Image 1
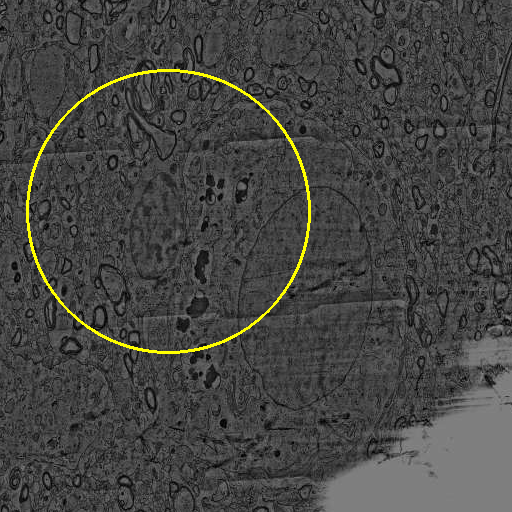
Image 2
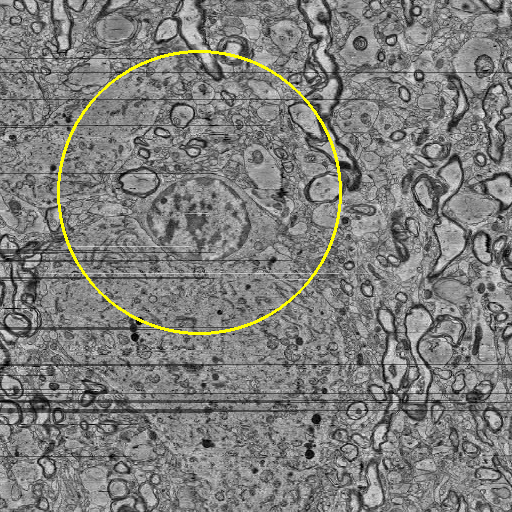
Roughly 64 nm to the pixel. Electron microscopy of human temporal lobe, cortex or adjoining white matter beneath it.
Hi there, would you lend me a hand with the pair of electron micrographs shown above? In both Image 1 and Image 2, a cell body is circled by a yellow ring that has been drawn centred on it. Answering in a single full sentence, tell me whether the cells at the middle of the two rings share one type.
Yes, the ringed cells in Image 1 and Image 2 share one type.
